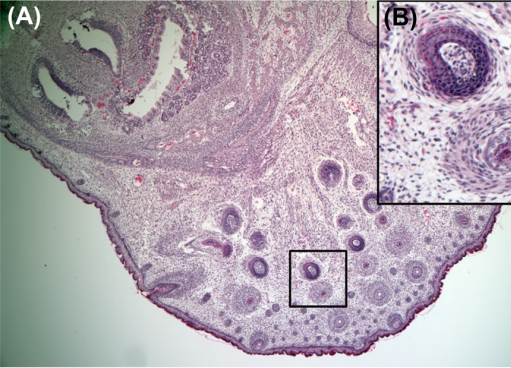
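This is a section through the snout of an embryo stained pink and purple, with a thin stratified epithelium along the rounded outer edge. Beneath it lies loose, pale connective tissue packed with many round follicles cut in cross-section, each made of concentric rings of cells around a central core. In the enlarged inset two such follicles are seen: the upper one has a dark purple ring of tightly packed cells around a paler centre, the lower one shows cells wrapped in concentric layers. Around them the spindle-shaped and oval nuclei of the connective tissue cells can be picked out one by one.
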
